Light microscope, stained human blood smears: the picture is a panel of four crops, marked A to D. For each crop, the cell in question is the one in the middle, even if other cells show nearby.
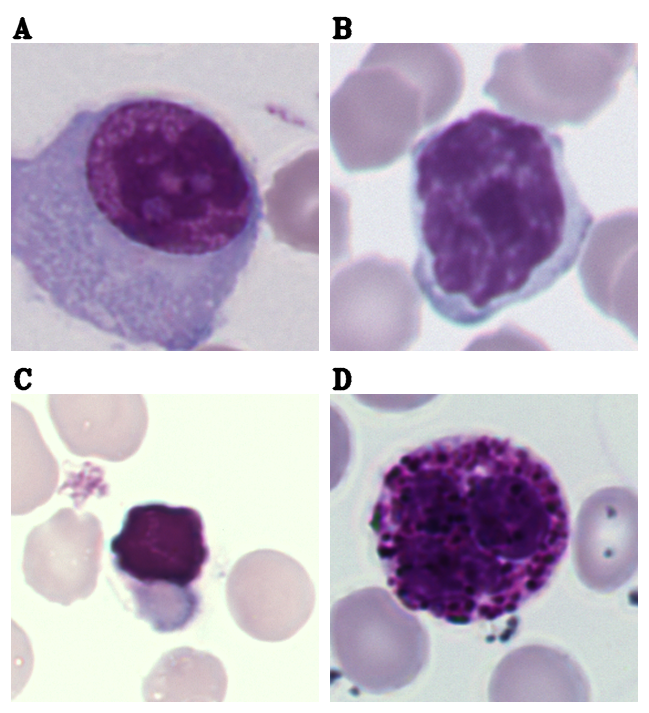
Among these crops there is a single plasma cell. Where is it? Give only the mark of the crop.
A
